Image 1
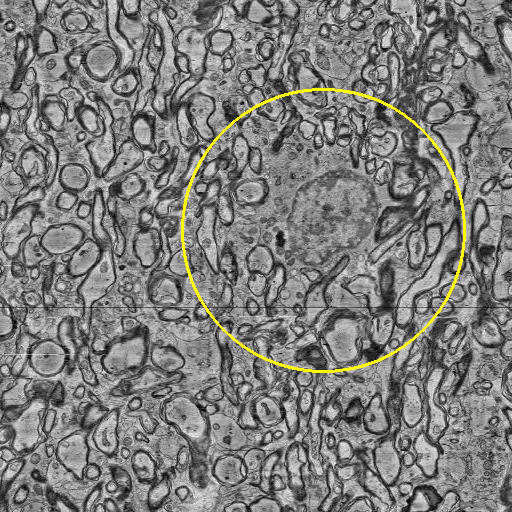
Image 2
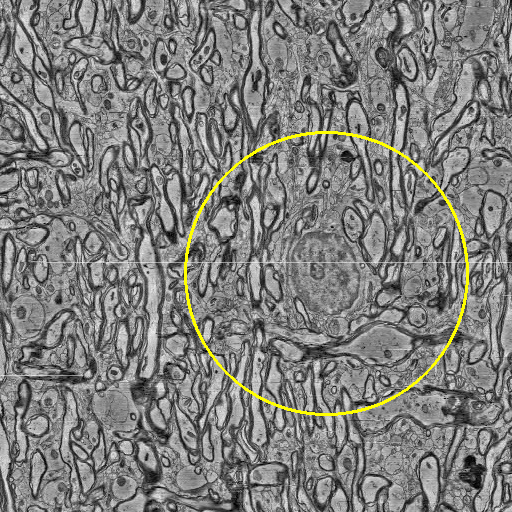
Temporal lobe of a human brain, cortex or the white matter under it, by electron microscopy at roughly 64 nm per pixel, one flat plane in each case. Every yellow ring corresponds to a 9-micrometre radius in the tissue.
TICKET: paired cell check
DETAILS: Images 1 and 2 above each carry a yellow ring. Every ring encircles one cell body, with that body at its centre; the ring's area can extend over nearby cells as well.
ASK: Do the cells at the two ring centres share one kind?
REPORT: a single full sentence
Yes, the ring-centre cells of Images 1 and 2 belong to a single kind.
